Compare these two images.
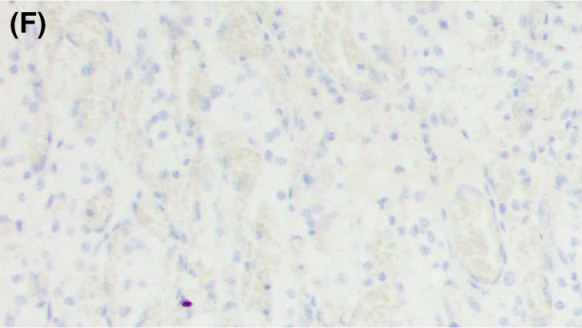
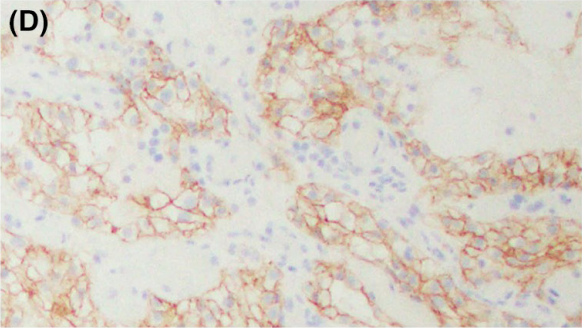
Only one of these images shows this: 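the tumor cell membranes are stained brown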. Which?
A: the second image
